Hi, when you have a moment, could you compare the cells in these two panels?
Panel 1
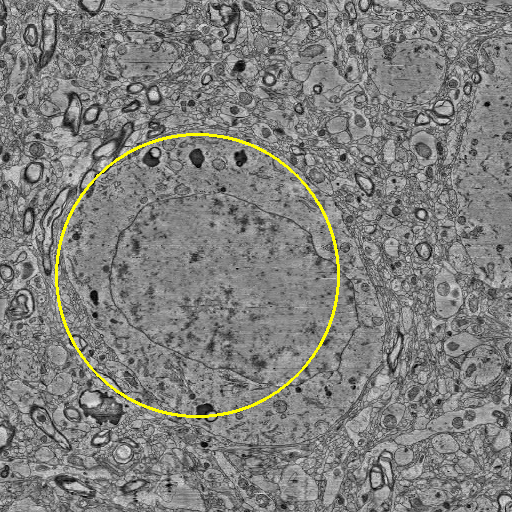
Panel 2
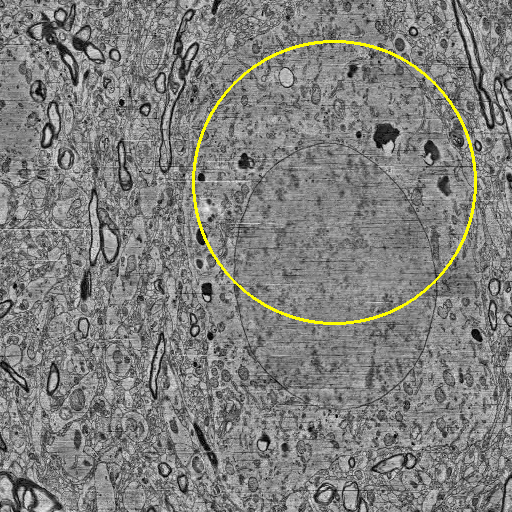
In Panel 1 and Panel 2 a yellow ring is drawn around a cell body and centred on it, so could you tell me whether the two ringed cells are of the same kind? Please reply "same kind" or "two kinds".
same kind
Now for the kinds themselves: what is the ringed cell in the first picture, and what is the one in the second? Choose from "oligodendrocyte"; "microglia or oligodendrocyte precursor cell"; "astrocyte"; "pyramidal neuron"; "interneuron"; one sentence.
Each of the two pictures has a pyramidal neuron at the ring centre.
